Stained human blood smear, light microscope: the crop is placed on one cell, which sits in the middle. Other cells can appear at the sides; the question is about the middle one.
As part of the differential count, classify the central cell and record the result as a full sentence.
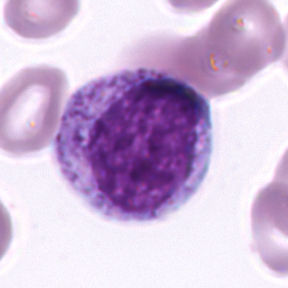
This crop is built around a myelocyte at its centre.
